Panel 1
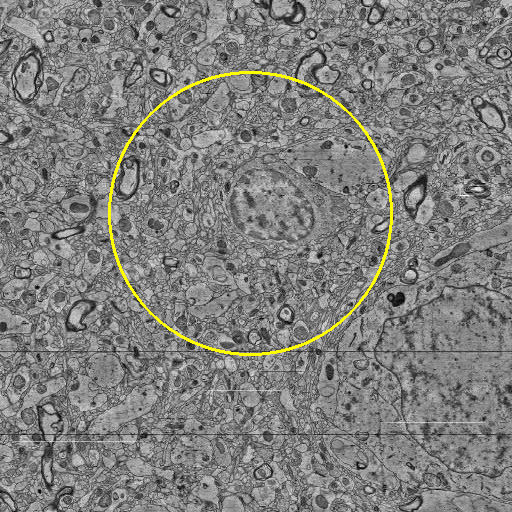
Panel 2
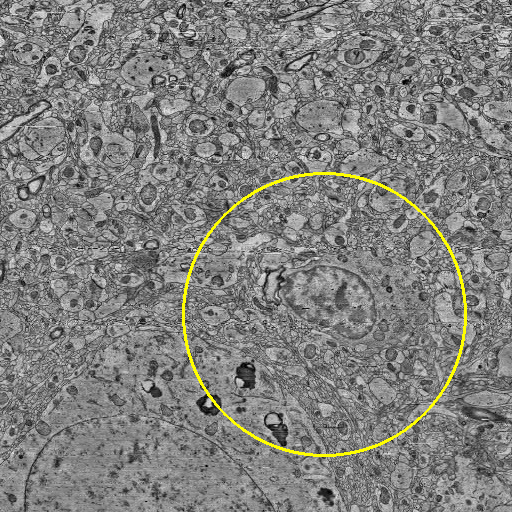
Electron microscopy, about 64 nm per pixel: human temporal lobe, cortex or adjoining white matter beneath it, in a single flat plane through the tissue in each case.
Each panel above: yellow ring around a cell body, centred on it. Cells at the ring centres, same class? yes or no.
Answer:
yes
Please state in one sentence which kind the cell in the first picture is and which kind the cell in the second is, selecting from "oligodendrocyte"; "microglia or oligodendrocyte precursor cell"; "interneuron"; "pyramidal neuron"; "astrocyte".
Each of the ringed cells, first and second, is an oligodendrocyte.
